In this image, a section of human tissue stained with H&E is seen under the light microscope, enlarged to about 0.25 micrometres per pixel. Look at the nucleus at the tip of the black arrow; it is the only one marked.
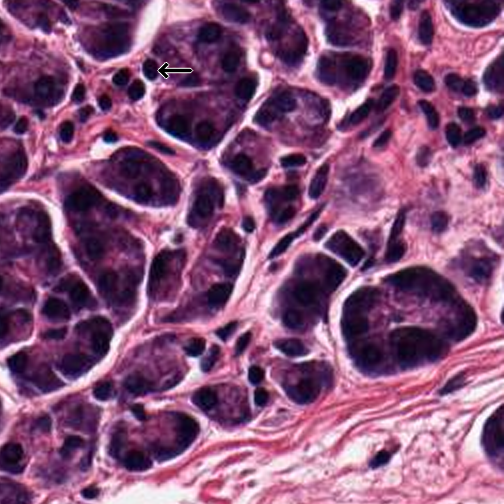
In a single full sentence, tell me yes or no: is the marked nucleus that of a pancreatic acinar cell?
No, instead of a pancreatic acinar cell, a supporting cell is what the marked nucleus belongs to.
